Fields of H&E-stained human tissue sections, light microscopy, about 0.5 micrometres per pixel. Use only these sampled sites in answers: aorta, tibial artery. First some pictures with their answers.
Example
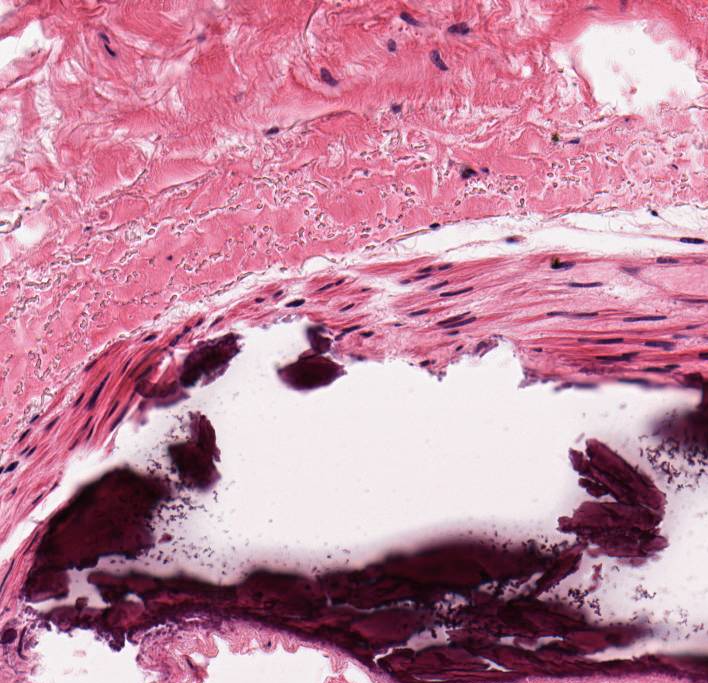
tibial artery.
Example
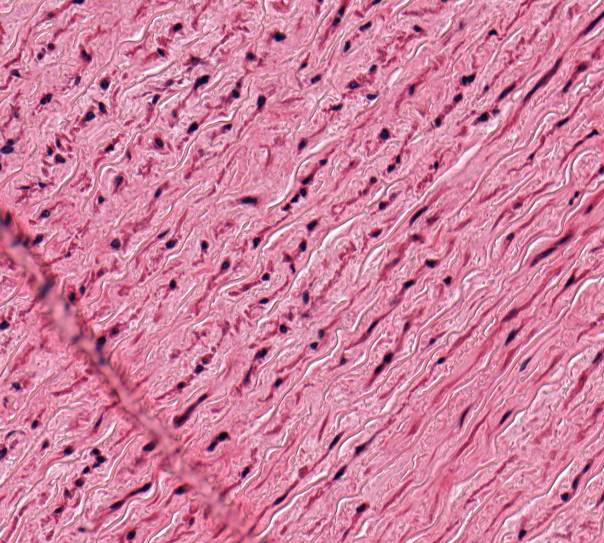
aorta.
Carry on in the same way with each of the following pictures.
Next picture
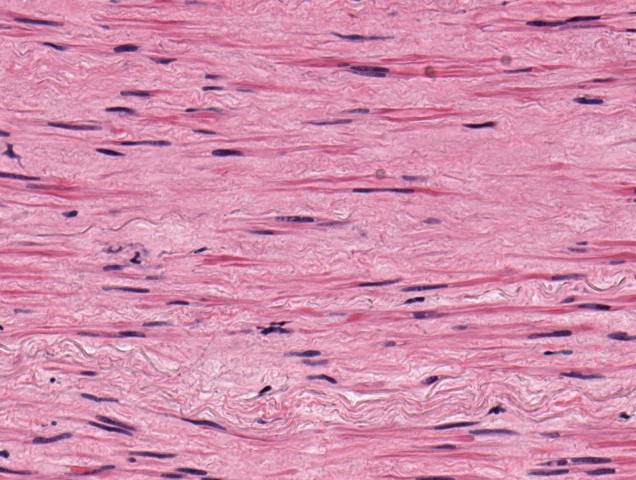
tibial artery.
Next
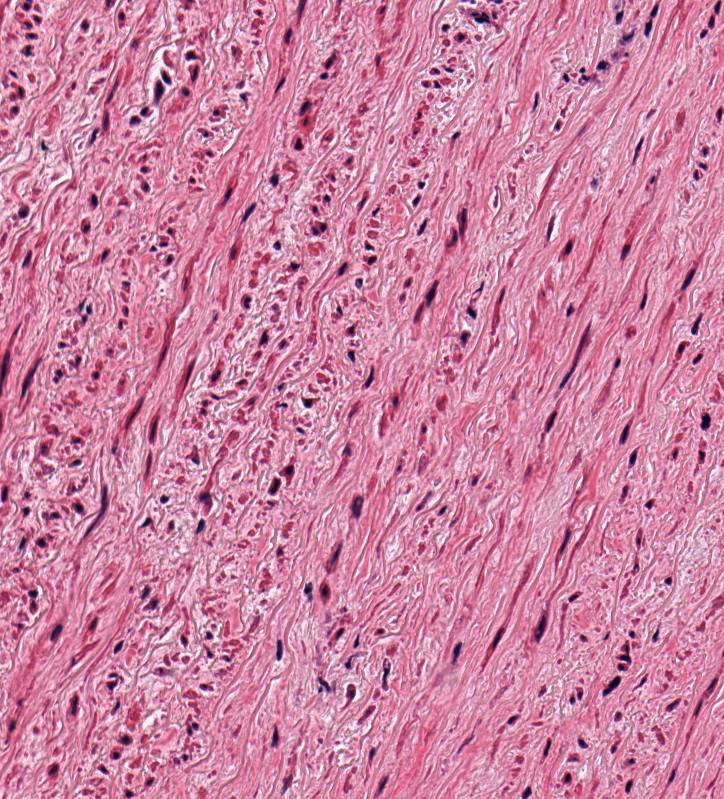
aorta.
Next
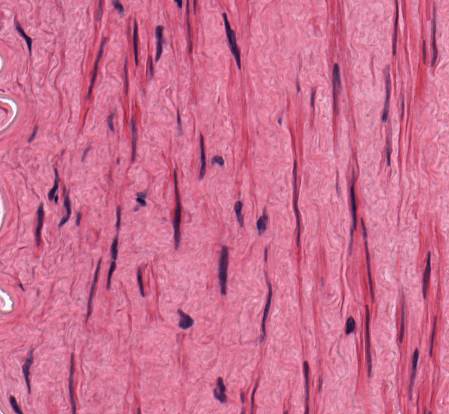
tibial artery.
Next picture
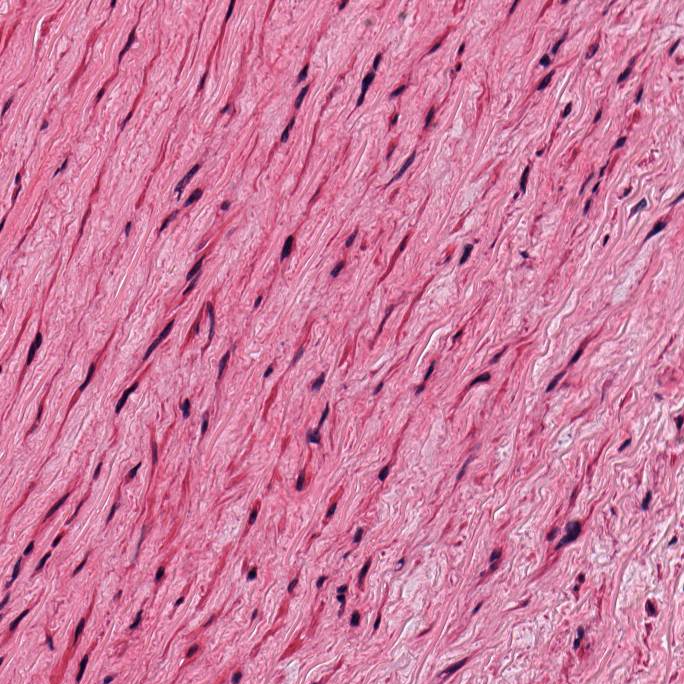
aorta.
